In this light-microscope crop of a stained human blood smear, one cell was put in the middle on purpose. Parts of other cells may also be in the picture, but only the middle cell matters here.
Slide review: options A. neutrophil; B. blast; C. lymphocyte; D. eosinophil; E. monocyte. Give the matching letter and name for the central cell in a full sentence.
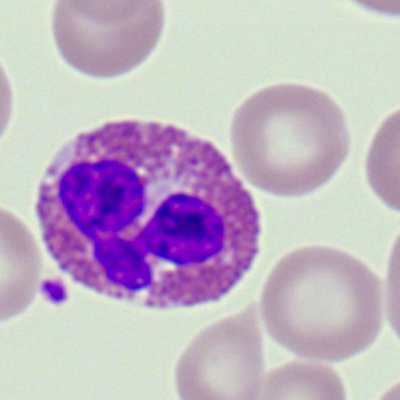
That cell in the center is an eosinophil, hence option D.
